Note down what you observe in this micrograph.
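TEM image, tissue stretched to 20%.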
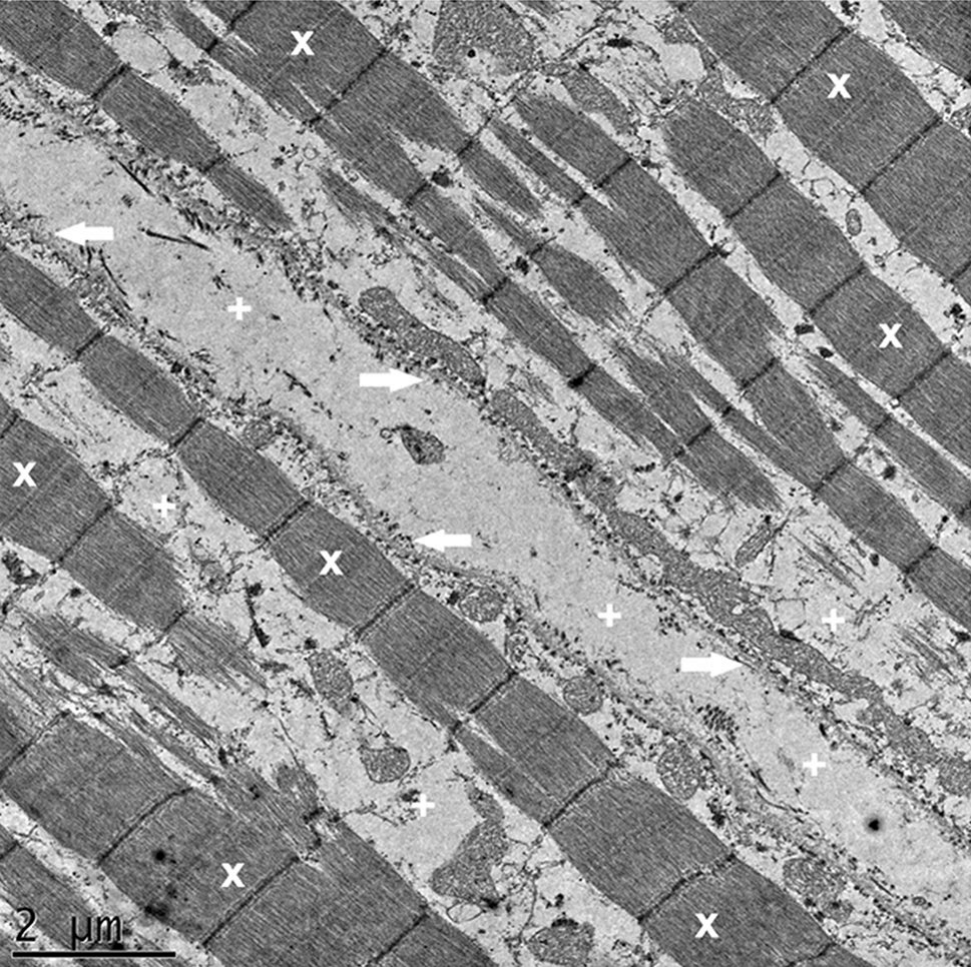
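This electron micrograph shows muscle cells cut along their length, with myofibrils running diagonally across the field. Each myofibril is a dark band of fine parallel filaments, interrupted at regular intervals by thin dark transverse lines that divide it into repeating sarcomeres. Between the myofibrils lie broad, pale, nearly empty spaces, much wider than the narrow gaps usually seen in well-packed muscle. Scattered in these pale spaces are small oval bodies with internal membranes, likely mitochondria, along with loose membranous debris. Thin, dense, granular borders run beside some filament bundles and stay close to them.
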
